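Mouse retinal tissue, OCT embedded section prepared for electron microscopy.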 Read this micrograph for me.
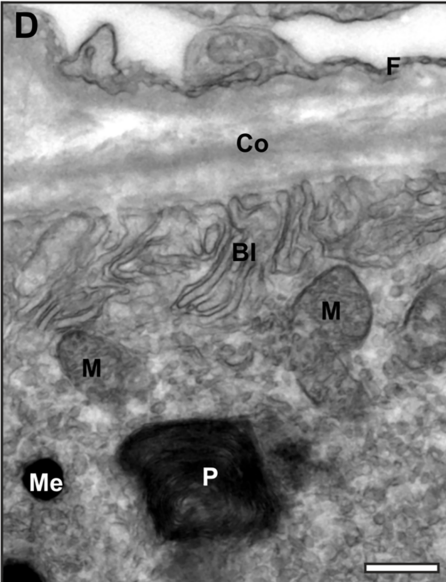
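This is the base of a pigment epithelial cell facing the choroid. At the top a thin endothelial lining with small fenestrae borders a pale lumen. Beneath it lies a pale band of fibrillar collagen, the Bruchs membrane. Below that the cell's basal plasma membrane is thrown into many narrow, wavy basal infoldings. Deeper in the granular cytoplasm sit rounded mitochondria with cristae, a small round, intensely black melanosome, and a large dense, roughly square body with layered internal texture, a phagosome holding ingested disc material.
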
